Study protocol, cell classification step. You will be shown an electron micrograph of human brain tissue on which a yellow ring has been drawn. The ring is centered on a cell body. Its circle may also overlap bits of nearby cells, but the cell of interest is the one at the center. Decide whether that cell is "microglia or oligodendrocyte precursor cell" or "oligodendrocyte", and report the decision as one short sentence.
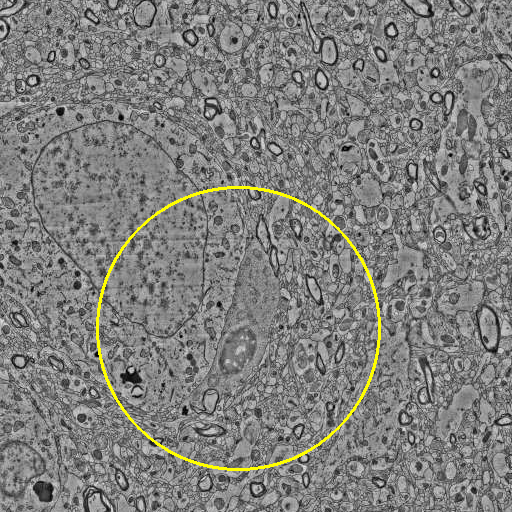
The marked cell is an oligodendrocyte.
